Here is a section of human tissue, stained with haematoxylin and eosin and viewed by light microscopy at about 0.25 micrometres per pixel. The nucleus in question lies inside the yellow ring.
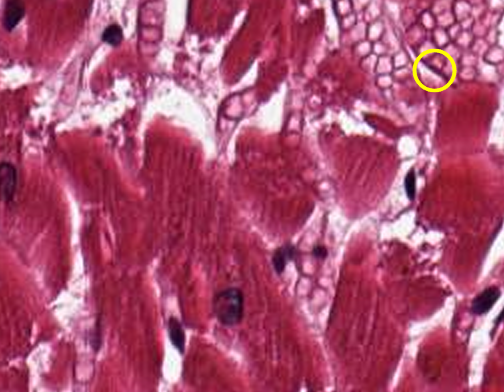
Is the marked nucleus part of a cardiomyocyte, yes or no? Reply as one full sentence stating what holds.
No, the marked nucleus is not from a cardiomyocyte; a supporting cell is its source.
